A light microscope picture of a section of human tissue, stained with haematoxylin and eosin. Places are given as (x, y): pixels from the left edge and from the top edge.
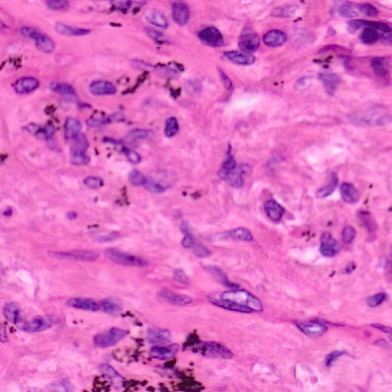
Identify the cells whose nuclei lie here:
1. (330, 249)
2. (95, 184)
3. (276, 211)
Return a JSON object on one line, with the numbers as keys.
{"1": "lymphocyte", "2": "mast cell", "3": "plasma cell"}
